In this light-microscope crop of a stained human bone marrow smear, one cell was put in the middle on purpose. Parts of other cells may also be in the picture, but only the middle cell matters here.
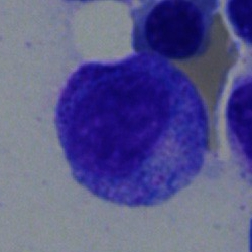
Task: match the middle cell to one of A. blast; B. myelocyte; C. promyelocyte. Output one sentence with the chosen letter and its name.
The cell at the centre is a myelocyte, and option B accordingly is correct.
